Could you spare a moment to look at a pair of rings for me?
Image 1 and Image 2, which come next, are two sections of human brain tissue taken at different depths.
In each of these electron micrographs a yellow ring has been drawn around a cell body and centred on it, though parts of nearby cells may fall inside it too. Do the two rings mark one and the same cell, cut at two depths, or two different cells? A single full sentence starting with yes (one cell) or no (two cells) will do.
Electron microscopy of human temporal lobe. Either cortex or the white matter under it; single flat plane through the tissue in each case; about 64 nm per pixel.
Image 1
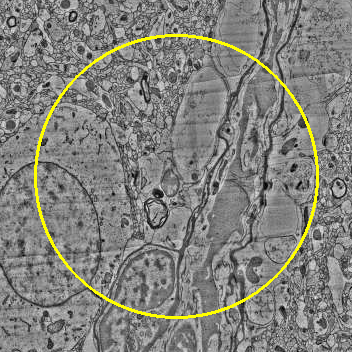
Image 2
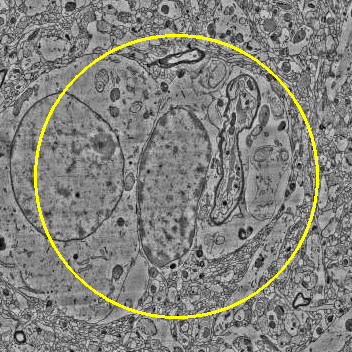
No, marked by the two rings are two different cells.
